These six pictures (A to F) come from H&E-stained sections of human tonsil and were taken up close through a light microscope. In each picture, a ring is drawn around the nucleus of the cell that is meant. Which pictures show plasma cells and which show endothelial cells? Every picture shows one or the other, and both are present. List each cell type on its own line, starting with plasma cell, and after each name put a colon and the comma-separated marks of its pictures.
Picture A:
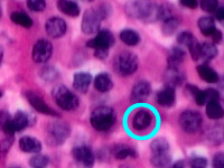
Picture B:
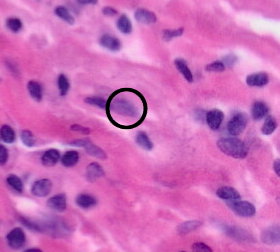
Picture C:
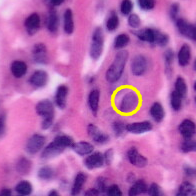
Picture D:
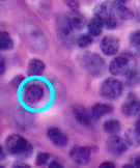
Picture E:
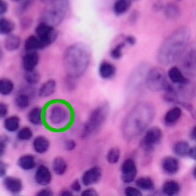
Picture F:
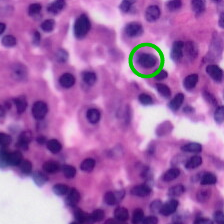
plasma cell: A, F
endothelial cell: B, C, D, E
